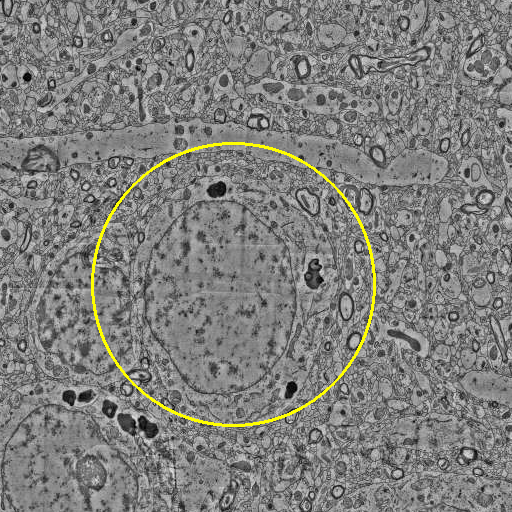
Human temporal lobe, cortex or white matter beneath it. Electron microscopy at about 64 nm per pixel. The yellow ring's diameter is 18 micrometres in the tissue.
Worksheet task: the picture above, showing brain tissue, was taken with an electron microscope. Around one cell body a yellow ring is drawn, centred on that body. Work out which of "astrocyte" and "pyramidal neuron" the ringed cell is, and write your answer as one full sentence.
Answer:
It is a pyramidal neuron whose cell body lies at the centre of the yellow ring.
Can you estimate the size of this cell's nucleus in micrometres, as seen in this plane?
The nucleus works out at approximately 12 by 10 micrometres in this plane.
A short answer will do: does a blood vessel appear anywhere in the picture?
No, there is no blood vessel.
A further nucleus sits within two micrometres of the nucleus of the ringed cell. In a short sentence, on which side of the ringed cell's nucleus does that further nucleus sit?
The other nucleus sits to the left of it.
